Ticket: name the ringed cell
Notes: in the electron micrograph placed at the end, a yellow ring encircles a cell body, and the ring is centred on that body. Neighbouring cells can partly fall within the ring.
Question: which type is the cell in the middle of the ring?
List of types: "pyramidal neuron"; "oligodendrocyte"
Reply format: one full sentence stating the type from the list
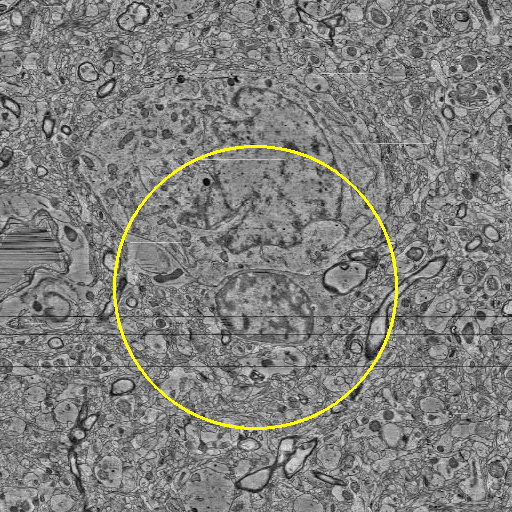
The cell sitting at the centre of the yellow ring is an oligodendrocyte.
